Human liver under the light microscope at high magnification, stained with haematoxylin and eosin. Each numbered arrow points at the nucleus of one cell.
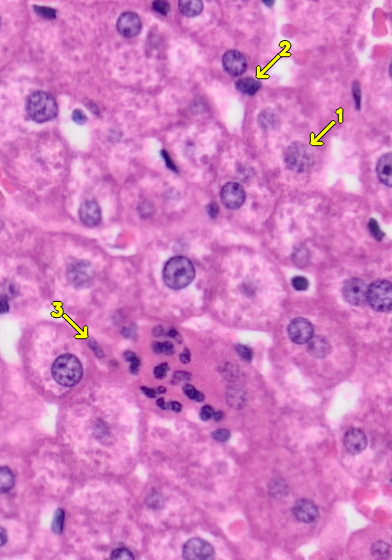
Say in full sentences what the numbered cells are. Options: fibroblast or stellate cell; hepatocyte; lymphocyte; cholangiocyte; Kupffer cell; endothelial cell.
Cell 1 is a hepatocyte. Cell 2 is a fibroblast or stellate cell. Cell 3 is a Kupffer cell.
